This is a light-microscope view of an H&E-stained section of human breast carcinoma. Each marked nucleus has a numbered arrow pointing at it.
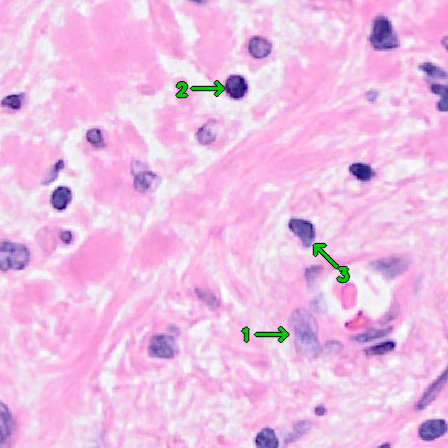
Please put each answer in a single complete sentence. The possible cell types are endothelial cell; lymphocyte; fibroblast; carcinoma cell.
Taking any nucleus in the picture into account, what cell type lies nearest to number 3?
The nearest nucleus to number 3 belongs to an endothelial cell.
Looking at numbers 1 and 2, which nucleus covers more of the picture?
It is nucleus 1, which covers about 2 times the area of nucleus 2.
